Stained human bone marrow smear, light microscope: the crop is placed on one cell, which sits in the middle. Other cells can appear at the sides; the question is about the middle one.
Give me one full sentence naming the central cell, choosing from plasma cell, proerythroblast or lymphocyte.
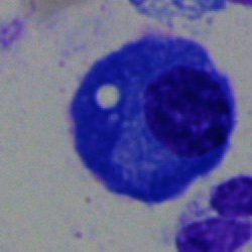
Centrally within this crop lies a plasma cell.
